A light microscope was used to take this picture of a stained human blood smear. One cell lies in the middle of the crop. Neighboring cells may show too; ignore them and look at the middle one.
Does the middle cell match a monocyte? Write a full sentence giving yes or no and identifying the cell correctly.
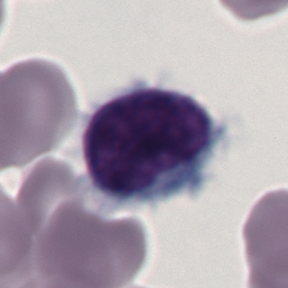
No, instead of being a monocyte, the middle cell is a hairy cell.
